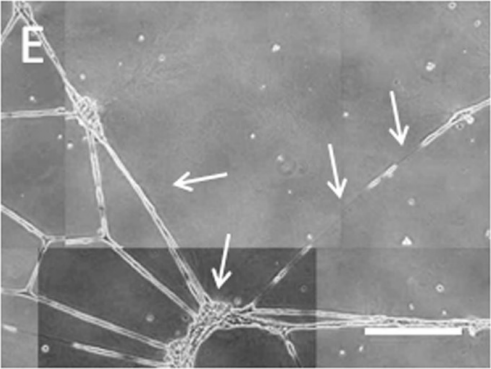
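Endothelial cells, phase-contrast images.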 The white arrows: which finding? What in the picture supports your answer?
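Large areas lack cords. Some cords are reduced to a faint thin strand with gaps.
Hence: disruption of the capillary-like structure.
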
